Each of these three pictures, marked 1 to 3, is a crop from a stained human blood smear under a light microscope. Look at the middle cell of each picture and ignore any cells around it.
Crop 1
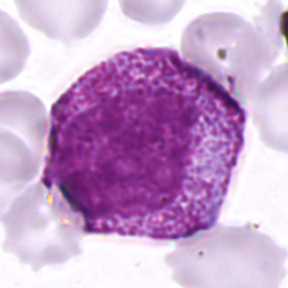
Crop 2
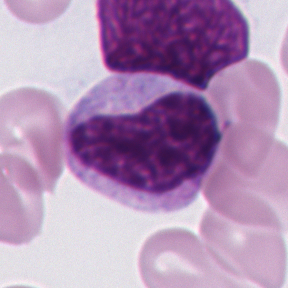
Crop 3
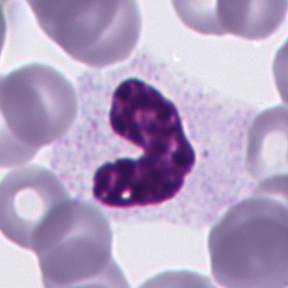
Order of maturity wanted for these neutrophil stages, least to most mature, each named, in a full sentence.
The ordering by maturity, from earliest to most mature, is crop 1 (a promyelocyte), crop 2 (a metamyelocyte) and crop 3 (a band neutrophil).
